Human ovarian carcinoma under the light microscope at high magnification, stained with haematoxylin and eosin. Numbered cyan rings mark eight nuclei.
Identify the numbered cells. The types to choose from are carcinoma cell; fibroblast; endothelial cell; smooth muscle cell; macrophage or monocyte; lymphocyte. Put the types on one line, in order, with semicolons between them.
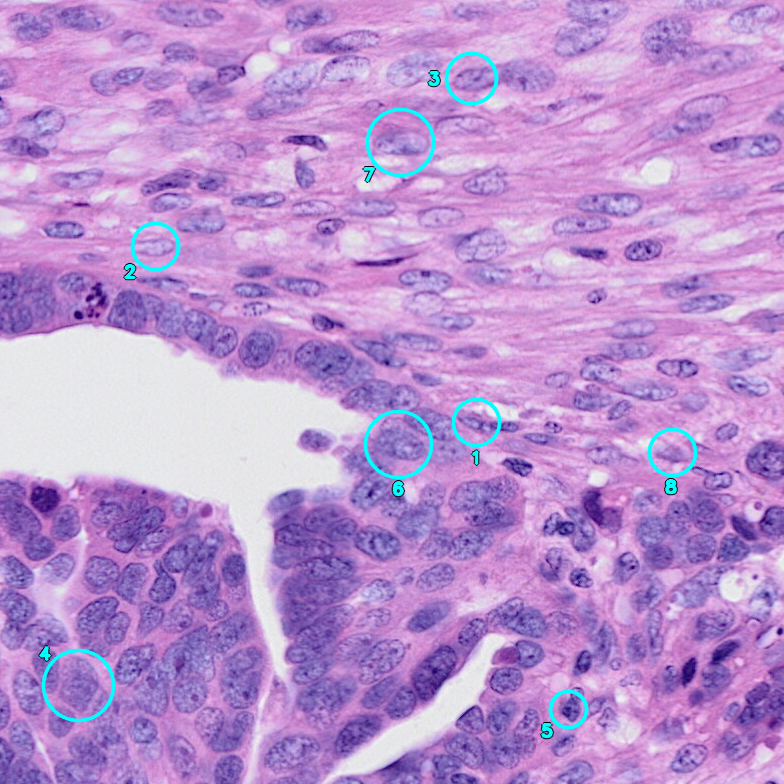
fibroblast; fibroblast; fibroblast; carcinoma cell; lymphocyte; carcinoma cell; fibroblast; fibroblast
